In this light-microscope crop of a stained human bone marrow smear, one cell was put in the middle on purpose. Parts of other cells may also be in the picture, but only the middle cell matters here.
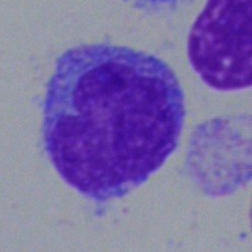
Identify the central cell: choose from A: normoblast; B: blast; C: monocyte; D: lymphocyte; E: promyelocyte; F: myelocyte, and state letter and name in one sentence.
The expected answer is option B, the central cell being a blast.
